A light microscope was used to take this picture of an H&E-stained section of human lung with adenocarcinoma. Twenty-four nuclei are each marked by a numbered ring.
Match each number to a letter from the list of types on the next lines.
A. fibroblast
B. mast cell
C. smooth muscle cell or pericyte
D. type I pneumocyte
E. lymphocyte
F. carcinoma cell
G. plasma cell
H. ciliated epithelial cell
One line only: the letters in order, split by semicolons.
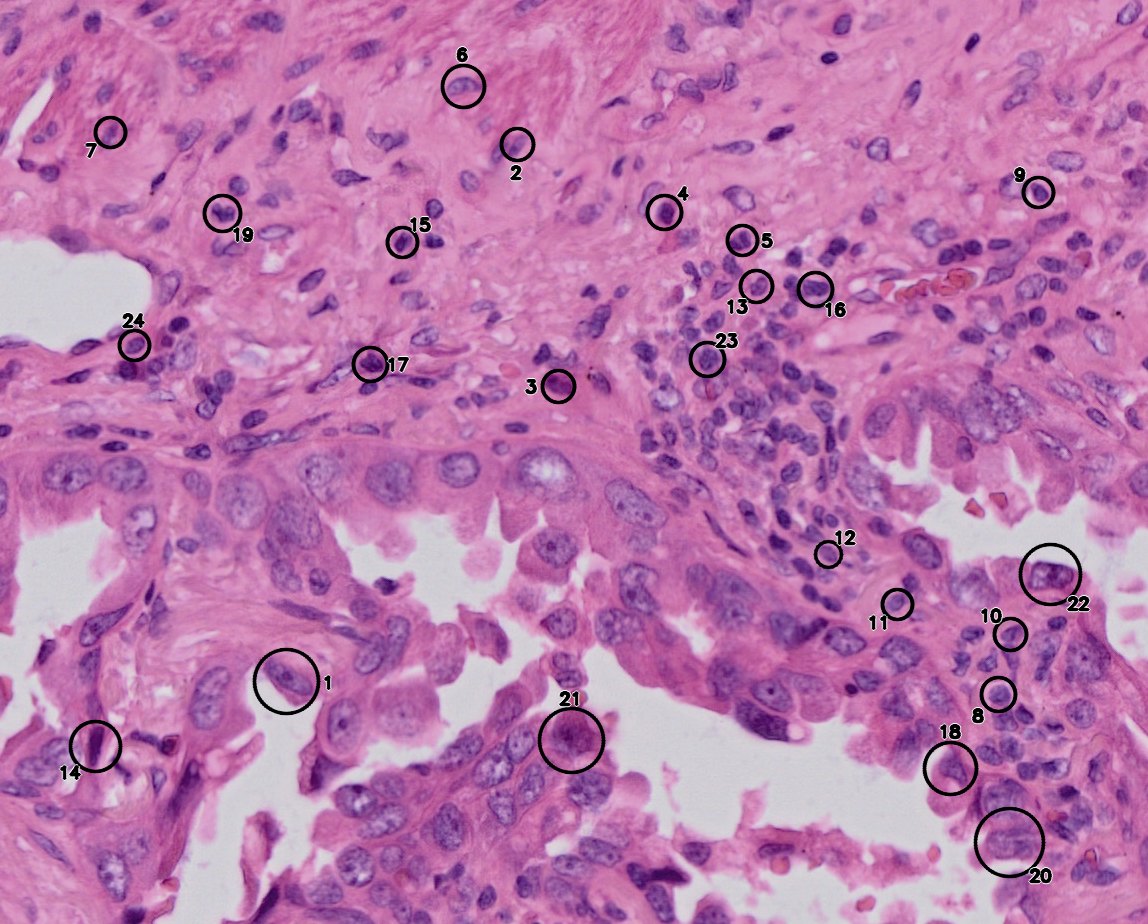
F; C; G; G; E; C; C; E; E; E; E; E; E; F; E; E; G; F; E; F; F; F; E; B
